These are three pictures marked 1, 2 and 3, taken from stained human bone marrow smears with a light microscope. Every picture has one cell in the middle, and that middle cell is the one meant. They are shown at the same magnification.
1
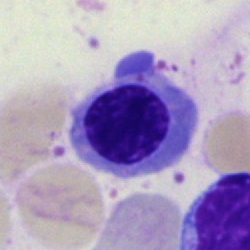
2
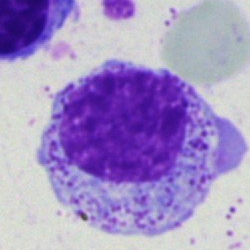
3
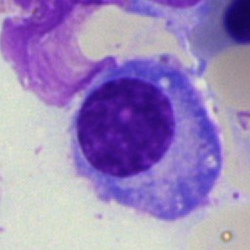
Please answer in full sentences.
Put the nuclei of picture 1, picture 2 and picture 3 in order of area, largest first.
The order is 2, 3, 1, beginning with the largest.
